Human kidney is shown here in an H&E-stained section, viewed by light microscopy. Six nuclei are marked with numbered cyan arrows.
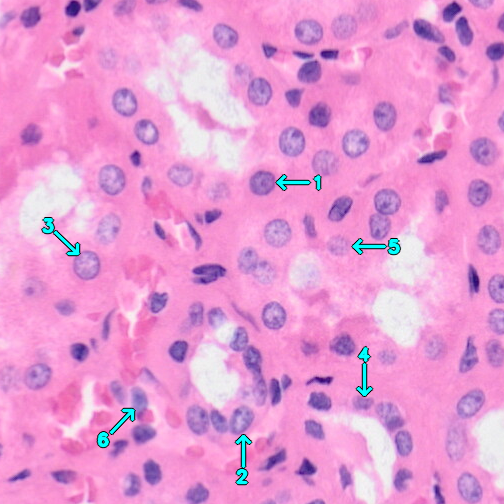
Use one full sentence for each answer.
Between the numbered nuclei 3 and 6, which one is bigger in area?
It is nucleus 3, which covers about 1.5 times the area of nucleus 6.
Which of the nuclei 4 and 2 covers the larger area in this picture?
Nucleus 2 is the larger one, covering about 2 times the area of nucleus 4.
